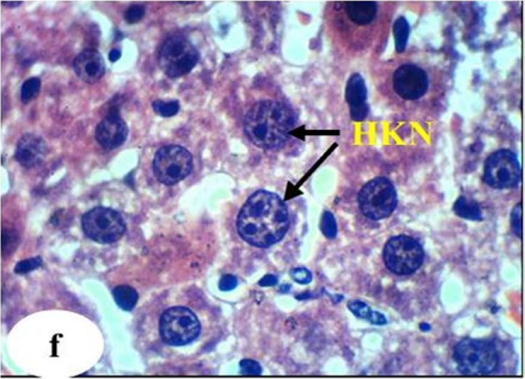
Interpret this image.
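At high magnification these liver cells have very large, round, darkly stained nuclei in a pink, finely granular cytoplasm. Within the nuclei the chromatin is coarse and clumped, and several show more than one prominent dark nucleolus. Small, dense, elongated nuclei of lining cells lie in the narrow pale spaces between the hepatocytes.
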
